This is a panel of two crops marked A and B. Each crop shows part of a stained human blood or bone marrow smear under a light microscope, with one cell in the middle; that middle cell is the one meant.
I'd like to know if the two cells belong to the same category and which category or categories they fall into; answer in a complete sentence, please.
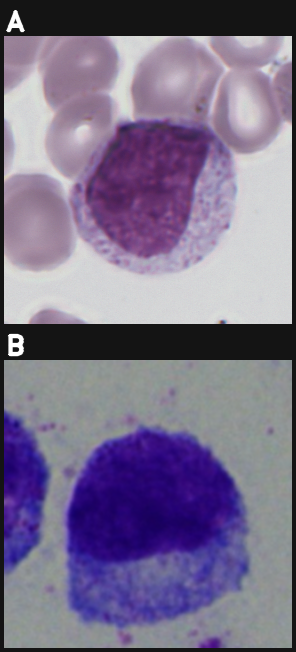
Yes, both crops alike show myelocytes at the centre.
